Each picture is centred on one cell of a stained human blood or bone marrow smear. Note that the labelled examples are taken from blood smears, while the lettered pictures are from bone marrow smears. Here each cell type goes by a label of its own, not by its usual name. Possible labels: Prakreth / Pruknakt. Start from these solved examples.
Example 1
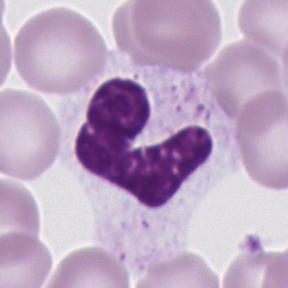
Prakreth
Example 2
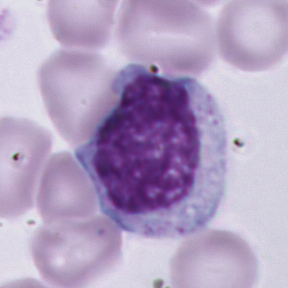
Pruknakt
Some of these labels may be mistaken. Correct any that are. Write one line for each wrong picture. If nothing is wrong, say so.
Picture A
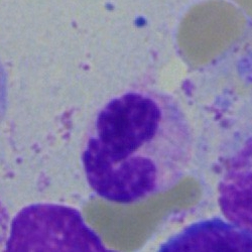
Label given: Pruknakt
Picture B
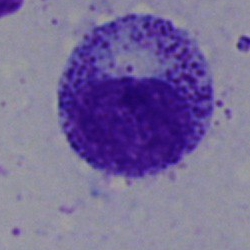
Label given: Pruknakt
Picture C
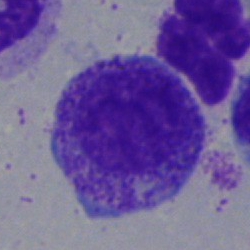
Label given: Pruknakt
A: not Pruknakt but Prakreth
